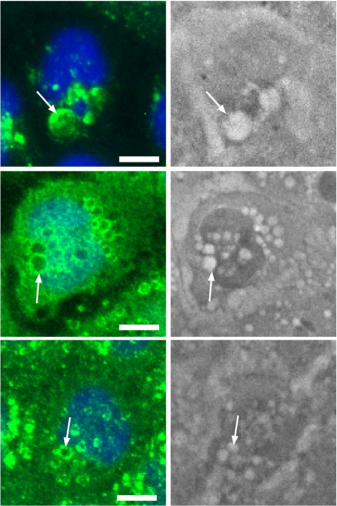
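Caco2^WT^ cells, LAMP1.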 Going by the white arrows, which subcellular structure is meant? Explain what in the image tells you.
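The arrows point to round, membrane-bounded clear spaces in the cytoplasm. In the bright-field images the same spaces look like pale round bubbles. In fluorescence they appear as rings of green signal around a darker centre.
Answer: vacuoles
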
